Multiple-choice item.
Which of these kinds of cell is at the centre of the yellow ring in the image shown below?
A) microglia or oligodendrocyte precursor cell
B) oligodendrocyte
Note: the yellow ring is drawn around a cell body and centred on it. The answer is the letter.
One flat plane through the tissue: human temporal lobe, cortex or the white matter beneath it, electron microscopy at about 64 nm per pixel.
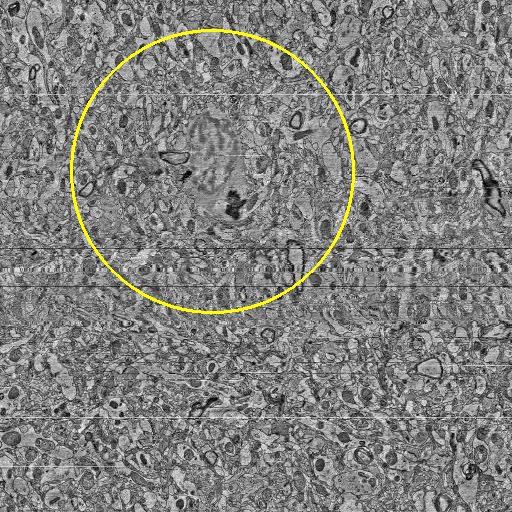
B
